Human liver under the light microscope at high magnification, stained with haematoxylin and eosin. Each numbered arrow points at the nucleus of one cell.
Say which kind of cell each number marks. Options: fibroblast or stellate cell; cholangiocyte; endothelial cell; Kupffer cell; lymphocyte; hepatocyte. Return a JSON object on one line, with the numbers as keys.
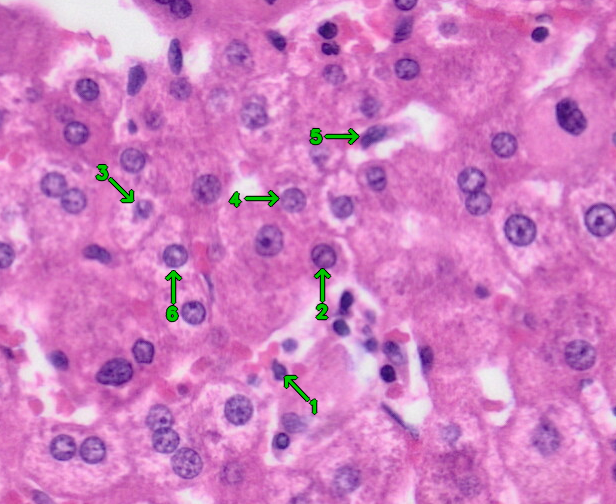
{"1": "lymphocyte", "2": "hepatocyte", "3": "hepatocyte", "4": "hepatocyte", "5": "Kupffer cell", "6": "hepatocyte"}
